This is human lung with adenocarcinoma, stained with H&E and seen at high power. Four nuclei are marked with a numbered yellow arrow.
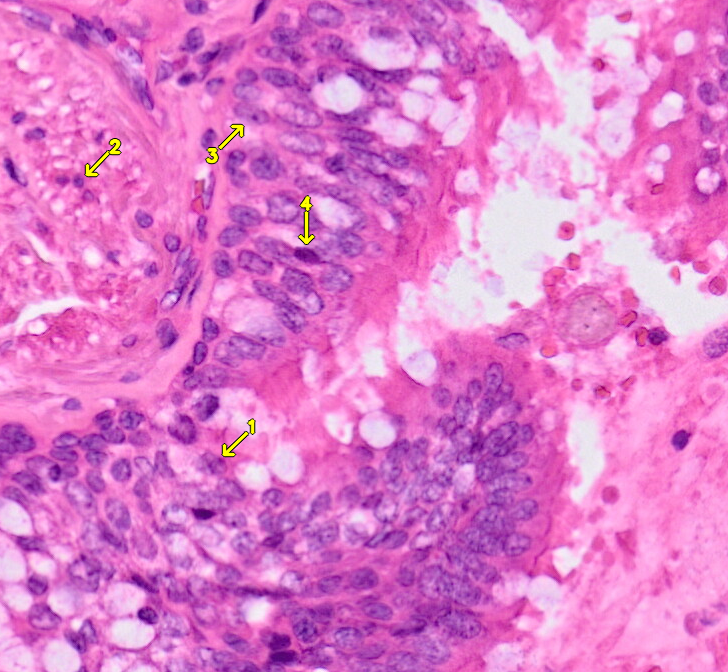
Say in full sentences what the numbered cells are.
Cells 1, 3 and 4 are ciliated epithelial cells. Cell 2 is a smooth muscle cell or pericyte.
